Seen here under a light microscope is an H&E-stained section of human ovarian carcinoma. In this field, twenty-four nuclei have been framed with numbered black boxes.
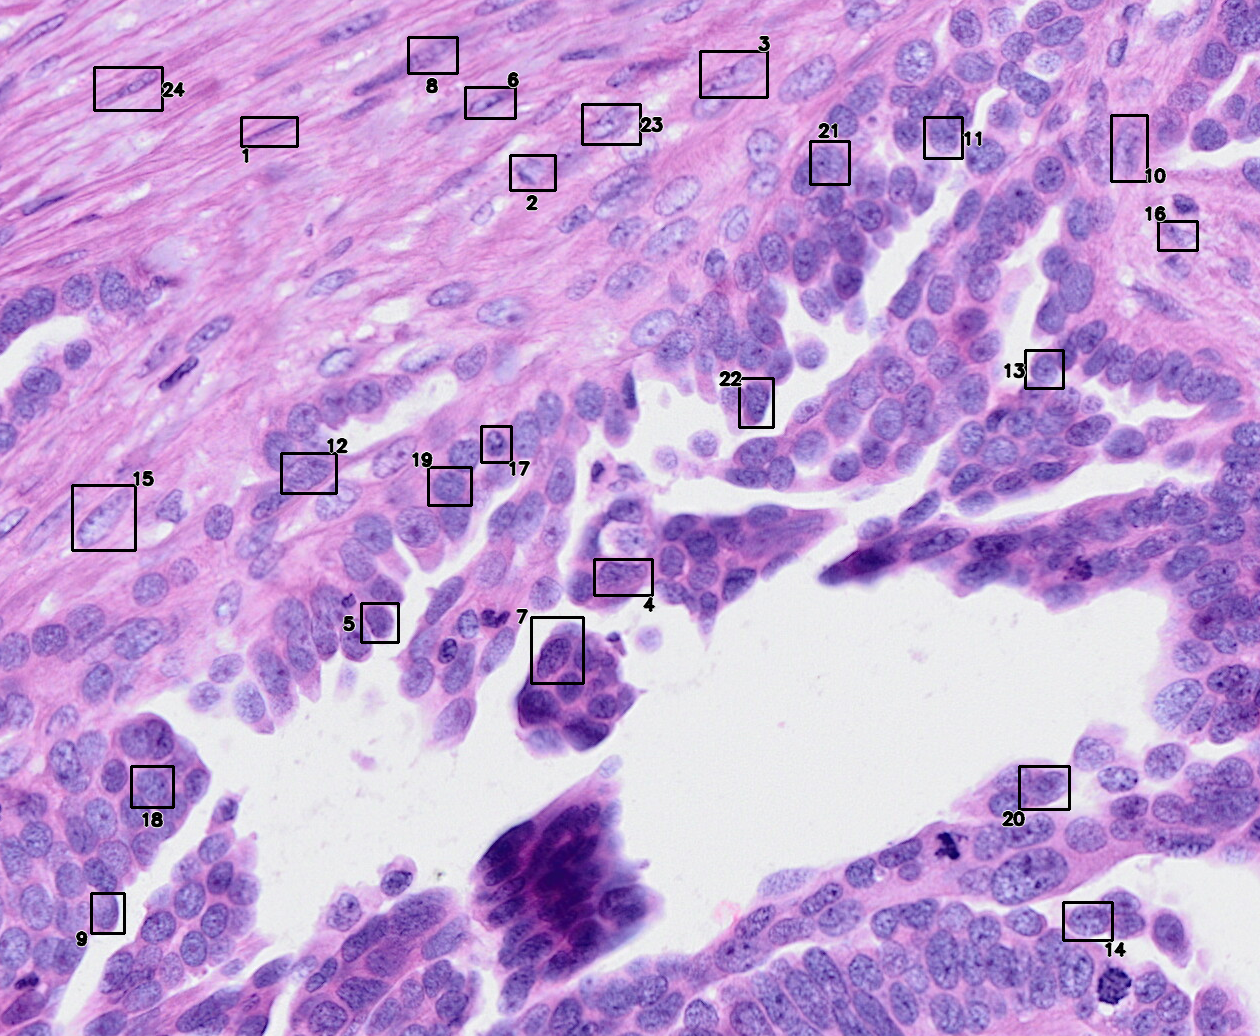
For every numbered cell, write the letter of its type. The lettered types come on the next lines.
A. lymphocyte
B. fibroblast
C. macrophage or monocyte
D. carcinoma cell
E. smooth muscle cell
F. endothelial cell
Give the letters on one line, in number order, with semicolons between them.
B; B; B; D; D; B; D; B; D; B; D; D; D; D; B; B; C; D; D; D; D; D; B; B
